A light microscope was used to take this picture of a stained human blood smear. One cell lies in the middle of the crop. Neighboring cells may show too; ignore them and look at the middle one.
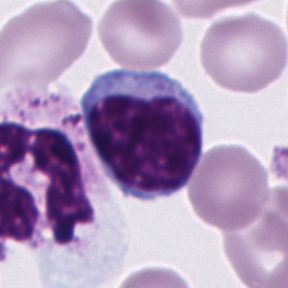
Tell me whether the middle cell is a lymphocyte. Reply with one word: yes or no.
yes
